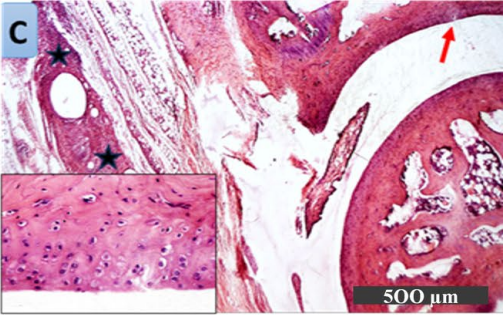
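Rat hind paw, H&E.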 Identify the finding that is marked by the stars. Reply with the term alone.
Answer: Mononuclear inflammatory cells aggregate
